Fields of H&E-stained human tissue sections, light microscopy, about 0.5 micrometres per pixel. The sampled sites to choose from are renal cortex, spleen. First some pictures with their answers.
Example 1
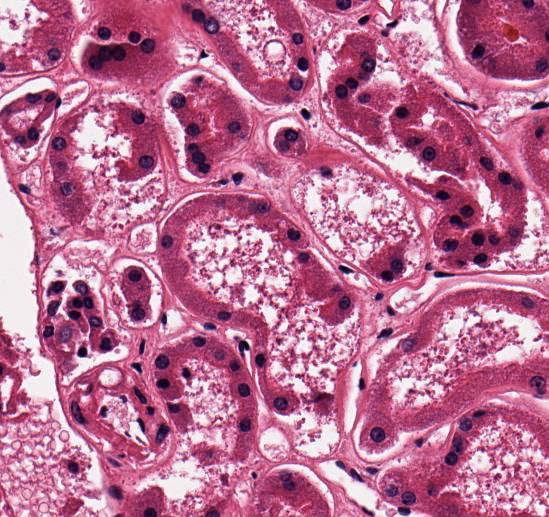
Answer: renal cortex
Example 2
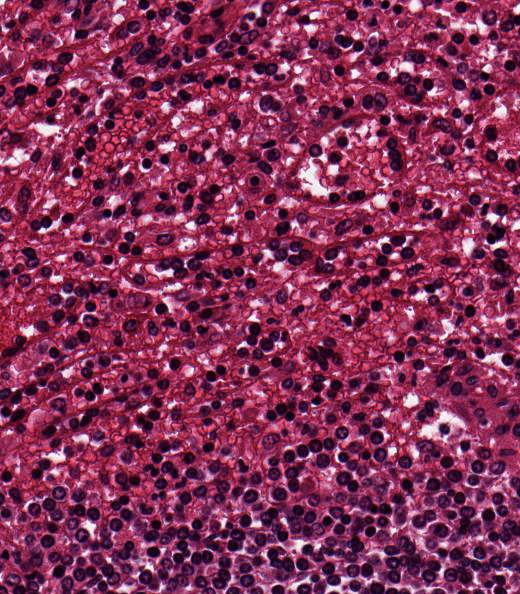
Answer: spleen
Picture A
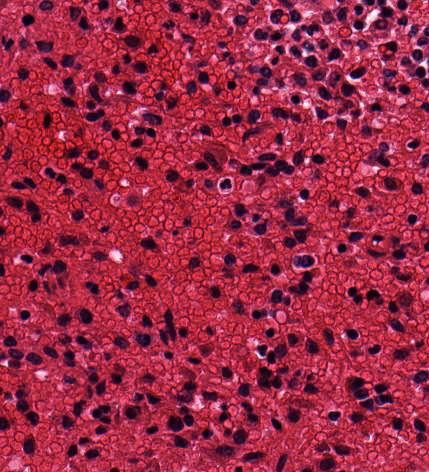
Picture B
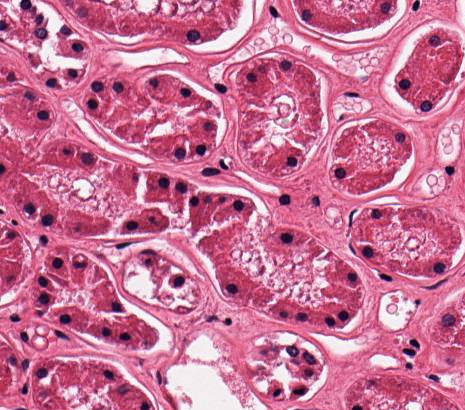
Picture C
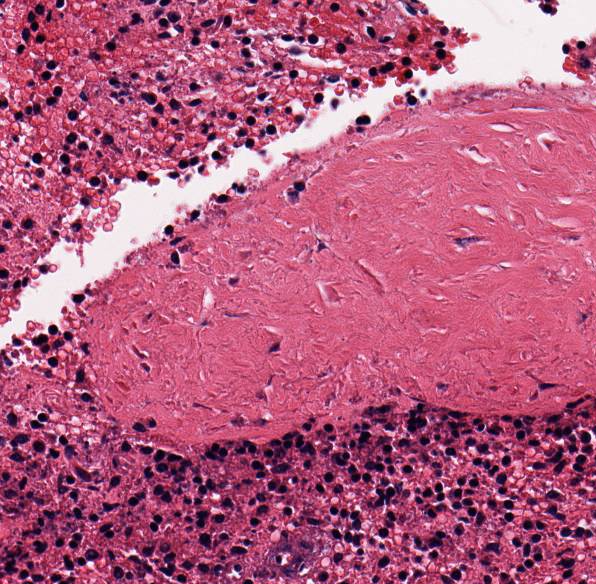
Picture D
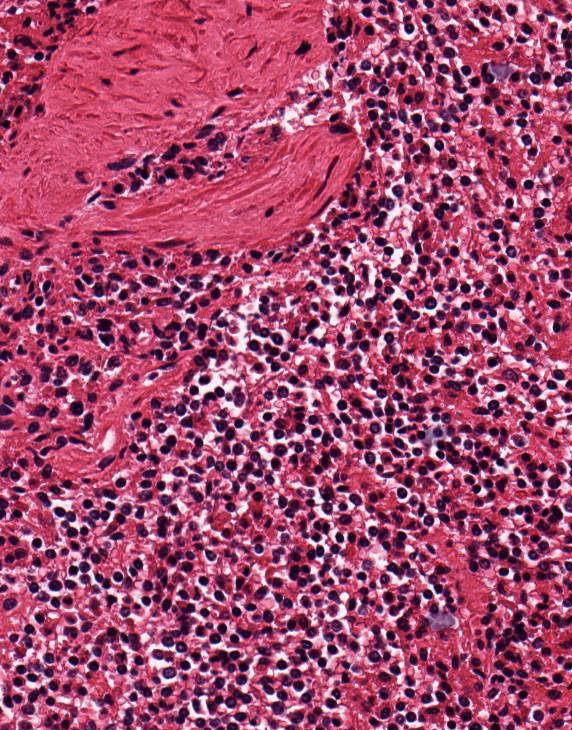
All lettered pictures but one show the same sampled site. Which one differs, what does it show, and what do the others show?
Odd one out: B (renal cortex). The rest: spleen.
